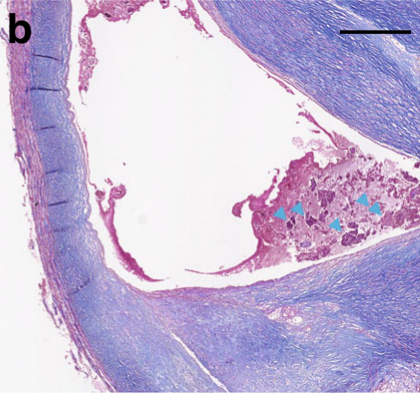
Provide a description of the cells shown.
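Cross-section of a diseased artery wall stained blue with collagen-rich tissue, surrounding a large open lumen. Inside the lumen, against the lower wall, lies an irregular pink-red mass of thrombus containing dark purple-red granular clumps and debris.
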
